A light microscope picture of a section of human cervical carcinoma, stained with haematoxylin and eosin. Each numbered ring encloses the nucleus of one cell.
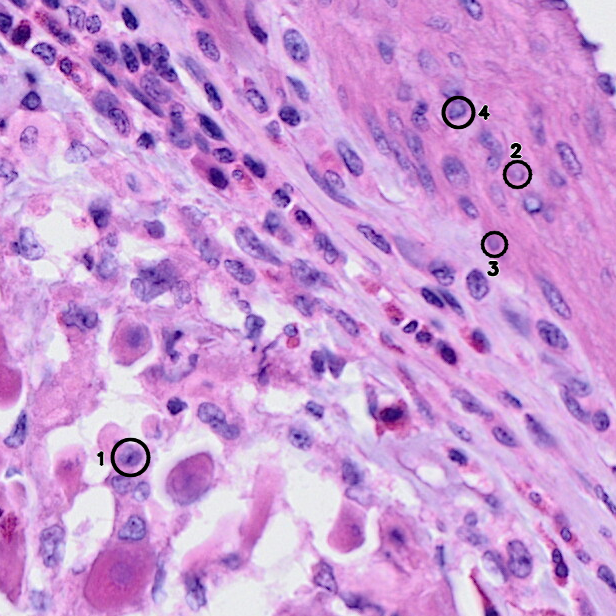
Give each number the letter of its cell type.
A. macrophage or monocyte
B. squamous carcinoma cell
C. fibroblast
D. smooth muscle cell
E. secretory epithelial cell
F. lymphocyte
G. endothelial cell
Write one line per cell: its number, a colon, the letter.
1: A
2: D
3: D
4: D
